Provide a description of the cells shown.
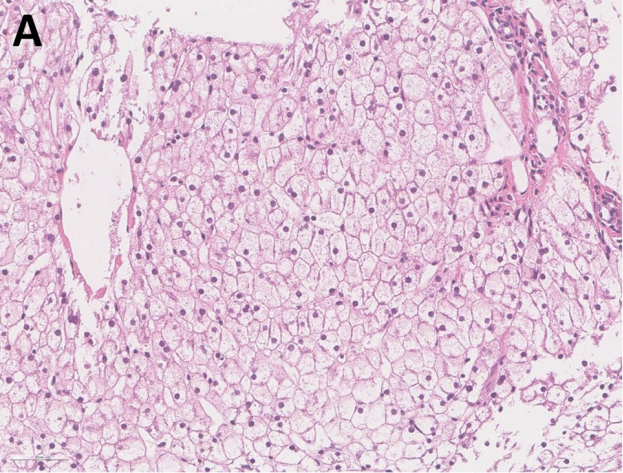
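Liver tissue in which the hepatocytes are markedly swollen, forming a mosaic of large polygonal cells with pale, clear to wispy pink cytoplasm and sharply drawn cell membranes. Each cell holds a small, round, dark nucleus, mostly near the centre. A thin strand of pink fibrous tissue with elongated nuclei and small vessels lies at the upper right edge.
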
